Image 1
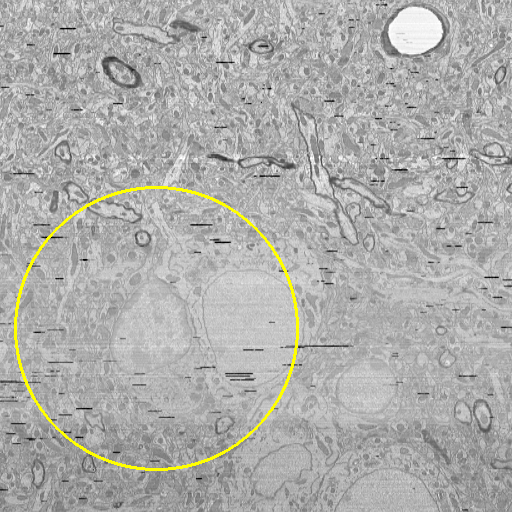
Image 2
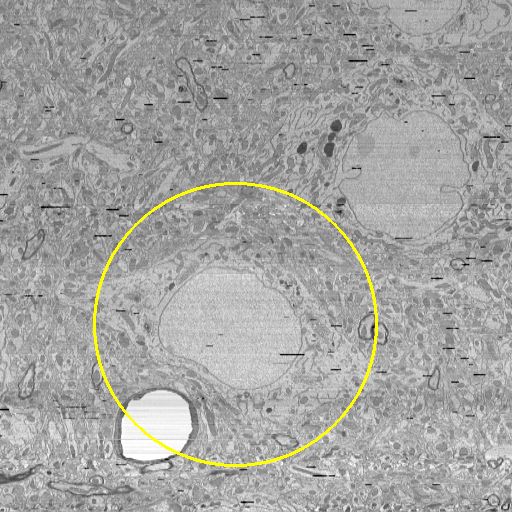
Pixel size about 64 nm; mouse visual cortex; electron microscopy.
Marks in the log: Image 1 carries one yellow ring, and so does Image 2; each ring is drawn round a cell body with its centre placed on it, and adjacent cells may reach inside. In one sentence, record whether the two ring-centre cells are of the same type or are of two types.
The two cells at the ring centres, one in each image, are of two types.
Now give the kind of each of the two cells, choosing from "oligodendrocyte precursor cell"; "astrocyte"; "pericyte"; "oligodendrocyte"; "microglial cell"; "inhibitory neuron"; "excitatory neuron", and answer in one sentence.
The cell in the first picture is an oligodendrocyte, and the cell in the second is an excitatory neuron.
